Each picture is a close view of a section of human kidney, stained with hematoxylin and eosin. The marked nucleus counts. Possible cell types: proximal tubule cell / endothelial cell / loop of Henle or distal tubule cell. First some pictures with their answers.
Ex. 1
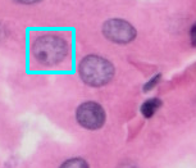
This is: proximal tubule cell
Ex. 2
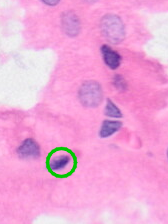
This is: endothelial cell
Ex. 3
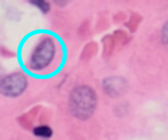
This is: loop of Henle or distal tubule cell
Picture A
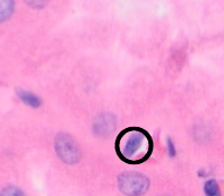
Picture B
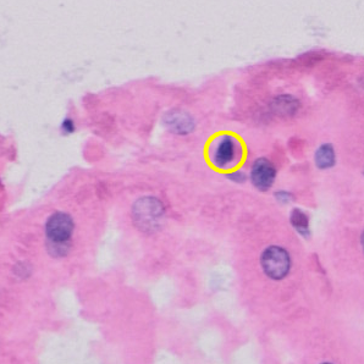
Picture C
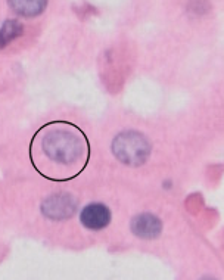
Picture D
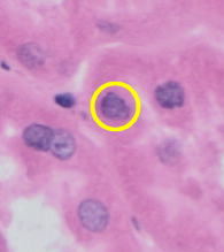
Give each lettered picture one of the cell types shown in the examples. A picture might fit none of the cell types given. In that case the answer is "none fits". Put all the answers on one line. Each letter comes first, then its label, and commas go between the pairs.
A endothelial cell, B endothelial cell, C proximal tubule cell, D proximal tubule cell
